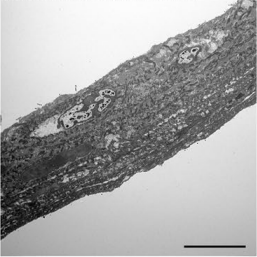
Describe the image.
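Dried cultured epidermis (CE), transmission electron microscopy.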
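The sheet is built of several stacked layers of flattened cells lying parallel to its surface, packed closely with little space between them. The cytoplasm appears electron-dense and finely textured, and a few paler, rounded or elongated profiles, likely nuclei or vacuoles, are scattered within the band.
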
